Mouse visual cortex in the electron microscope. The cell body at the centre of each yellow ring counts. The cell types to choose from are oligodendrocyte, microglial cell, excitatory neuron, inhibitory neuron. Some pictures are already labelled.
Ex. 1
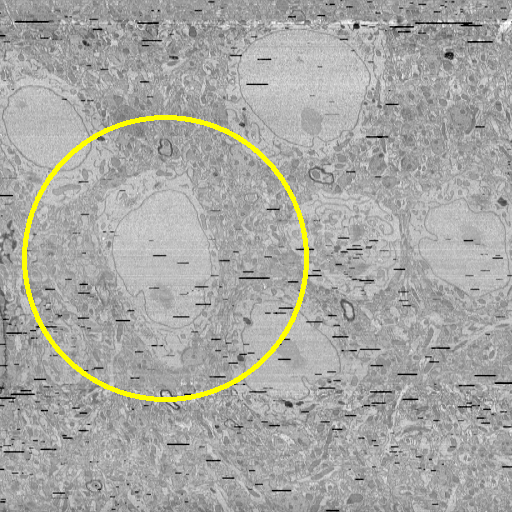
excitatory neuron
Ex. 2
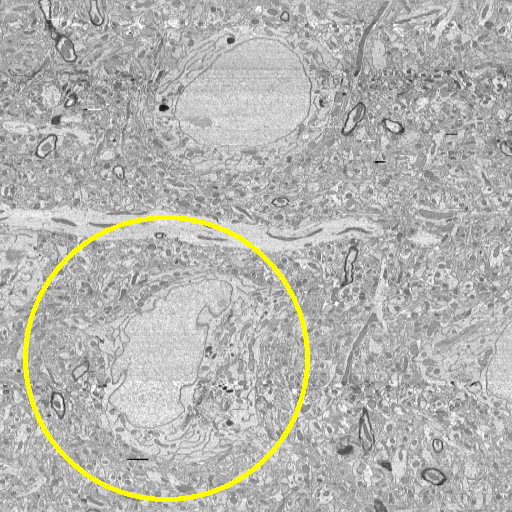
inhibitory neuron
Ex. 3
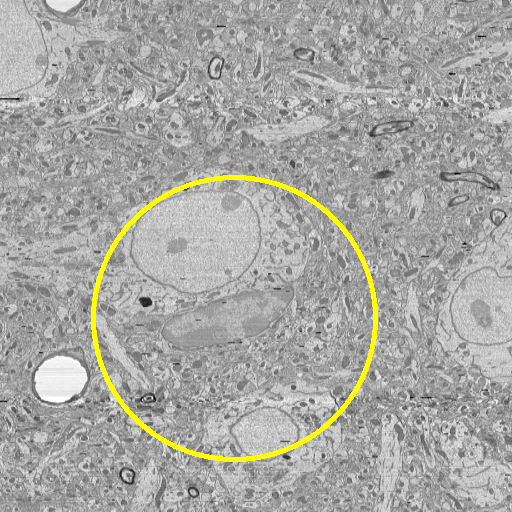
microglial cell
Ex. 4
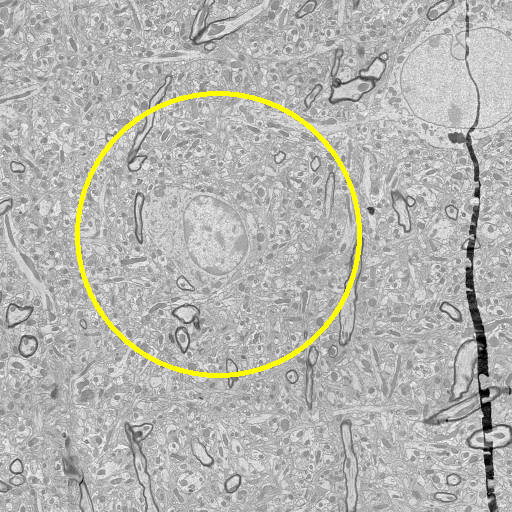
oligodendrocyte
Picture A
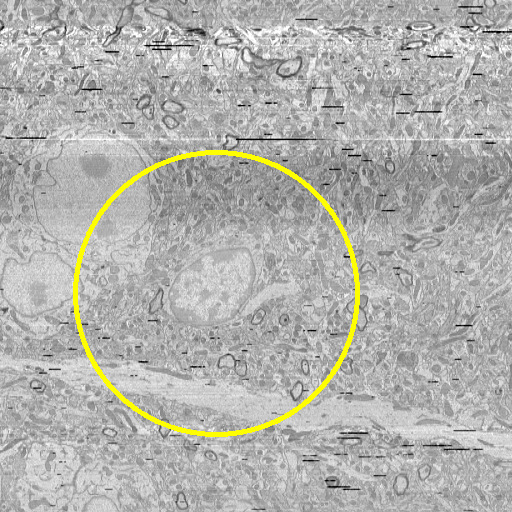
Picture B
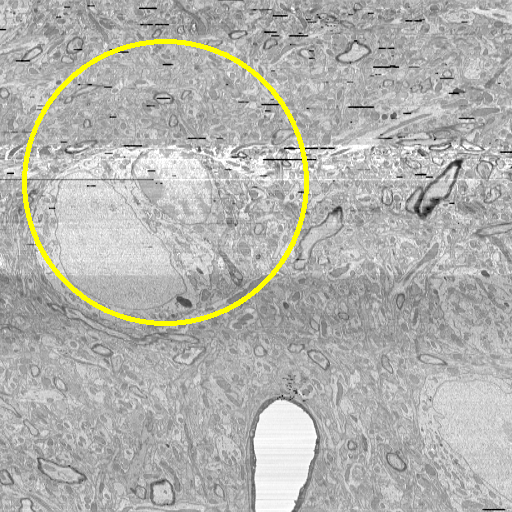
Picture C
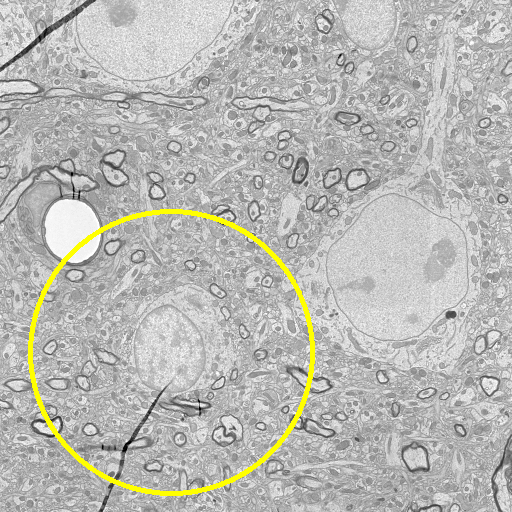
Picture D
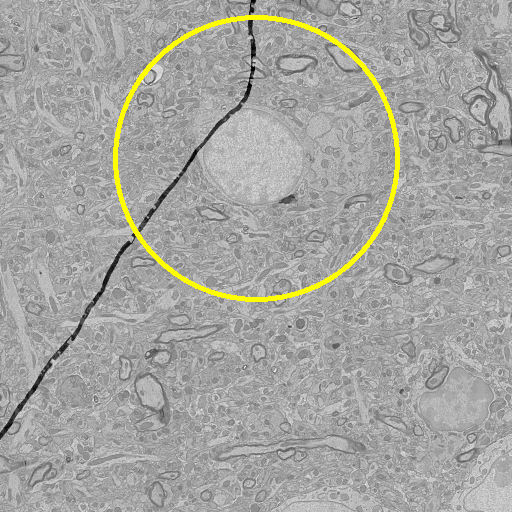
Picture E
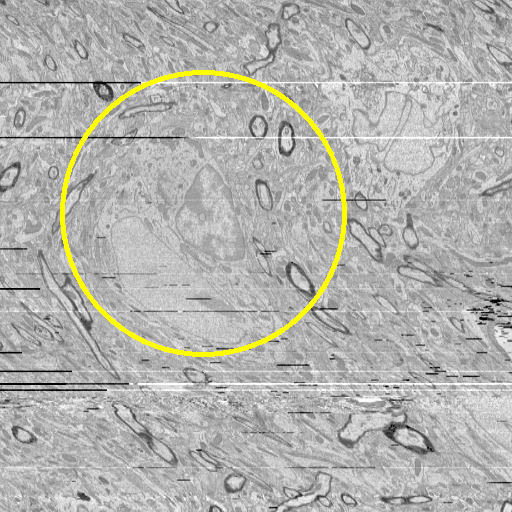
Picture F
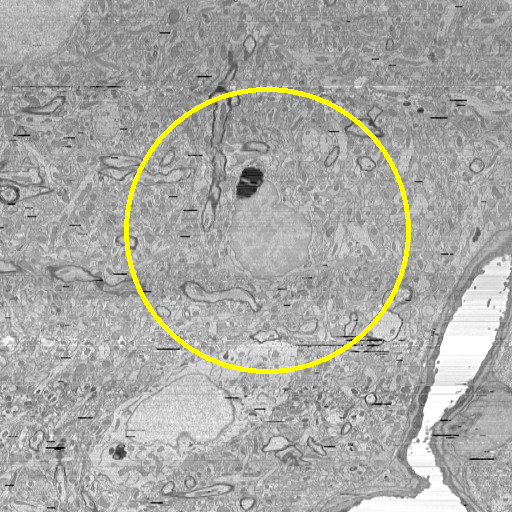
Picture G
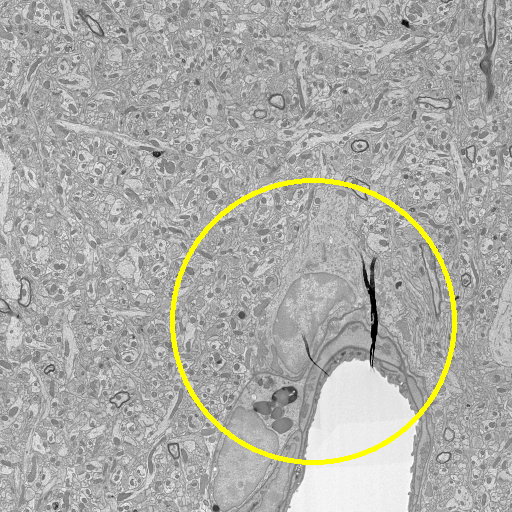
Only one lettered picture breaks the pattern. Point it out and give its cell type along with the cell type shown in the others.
Picture F: microglial cell. All others: oligodendrocyte.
